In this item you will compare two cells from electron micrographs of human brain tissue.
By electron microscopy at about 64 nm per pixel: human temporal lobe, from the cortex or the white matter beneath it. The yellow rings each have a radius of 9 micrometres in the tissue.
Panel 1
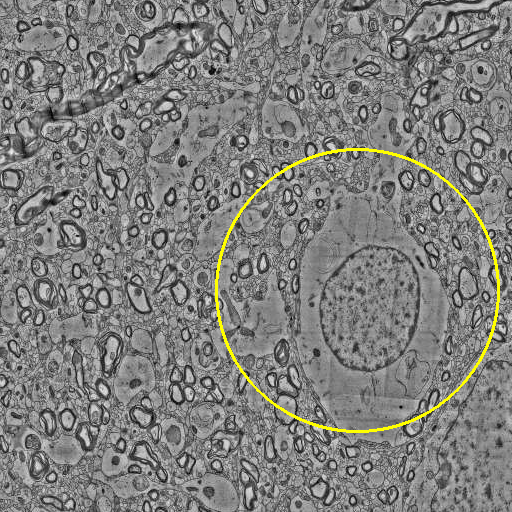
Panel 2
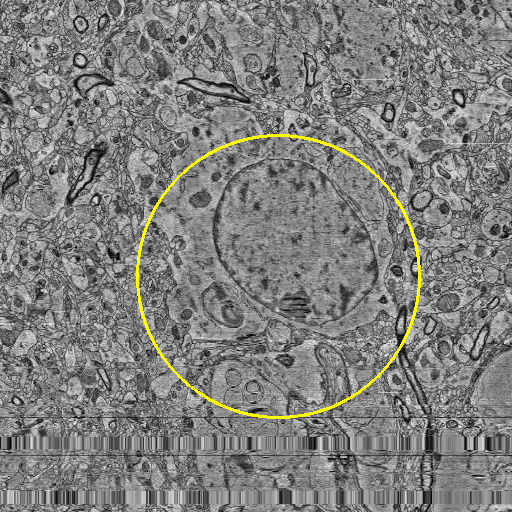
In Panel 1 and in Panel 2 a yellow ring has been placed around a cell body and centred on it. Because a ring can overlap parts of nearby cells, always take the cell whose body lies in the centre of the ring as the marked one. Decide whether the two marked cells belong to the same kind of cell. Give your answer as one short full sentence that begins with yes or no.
Yes, the two marked cells belong to the same kind of cell.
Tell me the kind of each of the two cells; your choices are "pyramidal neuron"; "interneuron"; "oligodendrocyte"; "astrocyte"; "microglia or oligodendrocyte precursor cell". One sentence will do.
The cell at the ring centre is an astrocyte in both pictures.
